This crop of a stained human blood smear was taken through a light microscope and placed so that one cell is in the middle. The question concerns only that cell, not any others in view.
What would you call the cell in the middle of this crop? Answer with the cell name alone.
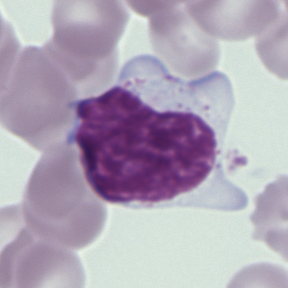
large granular lymphocyte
